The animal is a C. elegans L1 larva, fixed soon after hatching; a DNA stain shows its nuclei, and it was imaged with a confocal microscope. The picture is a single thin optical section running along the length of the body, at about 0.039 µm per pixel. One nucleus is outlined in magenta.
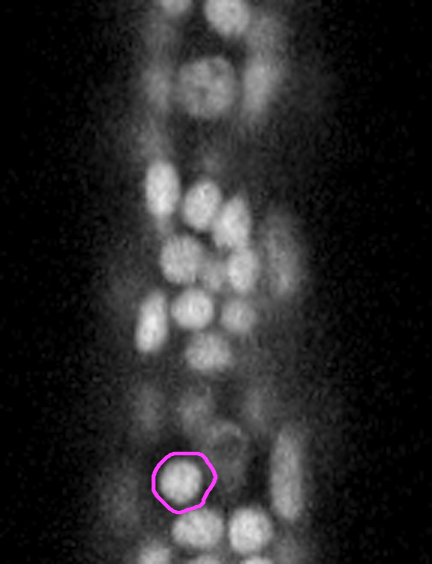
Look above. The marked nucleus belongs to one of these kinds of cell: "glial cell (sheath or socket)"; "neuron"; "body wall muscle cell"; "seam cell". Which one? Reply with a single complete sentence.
It belongs to a neuron.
